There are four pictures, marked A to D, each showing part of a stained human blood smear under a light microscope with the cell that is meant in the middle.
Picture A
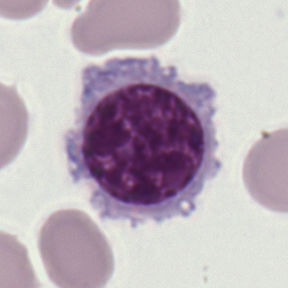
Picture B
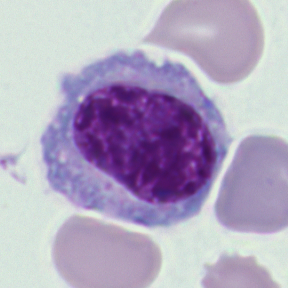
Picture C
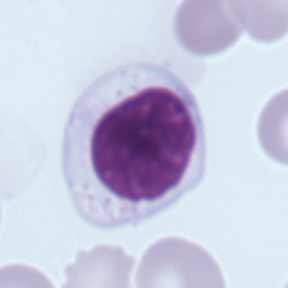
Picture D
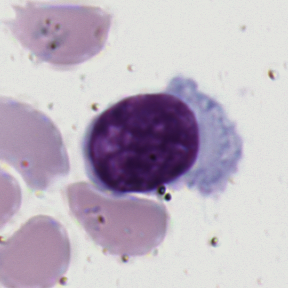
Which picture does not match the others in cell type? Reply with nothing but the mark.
C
